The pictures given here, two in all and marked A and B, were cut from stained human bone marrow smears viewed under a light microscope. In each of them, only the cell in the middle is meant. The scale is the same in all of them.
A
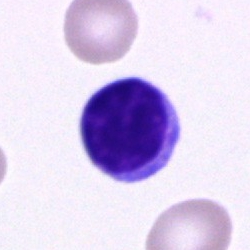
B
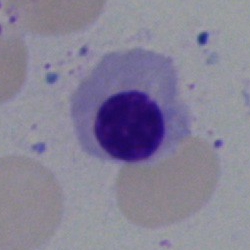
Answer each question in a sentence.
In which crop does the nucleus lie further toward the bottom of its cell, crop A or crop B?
In crop B the nucleus is shifted more toward the bottom.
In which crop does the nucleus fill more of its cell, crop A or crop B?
Of the two, the nucleus in crop A makes up the greater part of its cell.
